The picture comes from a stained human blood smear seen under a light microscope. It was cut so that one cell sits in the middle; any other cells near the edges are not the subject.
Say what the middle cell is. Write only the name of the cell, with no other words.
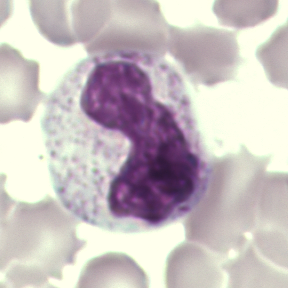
band neutrophil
